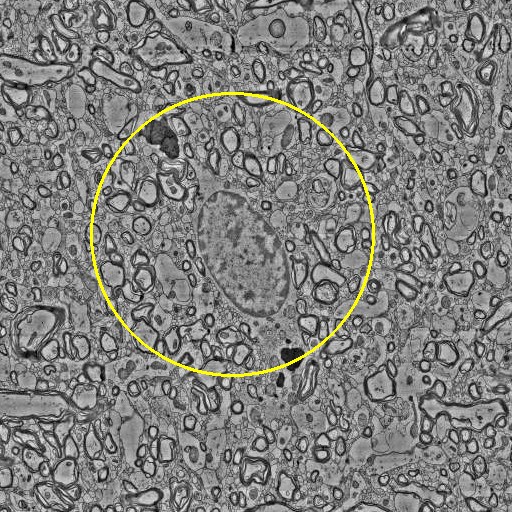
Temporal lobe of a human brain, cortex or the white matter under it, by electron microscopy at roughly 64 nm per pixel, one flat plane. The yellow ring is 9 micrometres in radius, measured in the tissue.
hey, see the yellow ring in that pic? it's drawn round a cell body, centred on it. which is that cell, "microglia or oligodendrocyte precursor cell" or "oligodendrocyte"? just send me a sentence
The cell in the ring is an oligodendrocyte.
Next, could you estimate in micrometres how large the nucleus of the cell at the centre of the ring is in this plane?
Roughly 8 micrometres long and 5 micrometres wide; in this plane the nucleus is clearly longer than it is wide.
